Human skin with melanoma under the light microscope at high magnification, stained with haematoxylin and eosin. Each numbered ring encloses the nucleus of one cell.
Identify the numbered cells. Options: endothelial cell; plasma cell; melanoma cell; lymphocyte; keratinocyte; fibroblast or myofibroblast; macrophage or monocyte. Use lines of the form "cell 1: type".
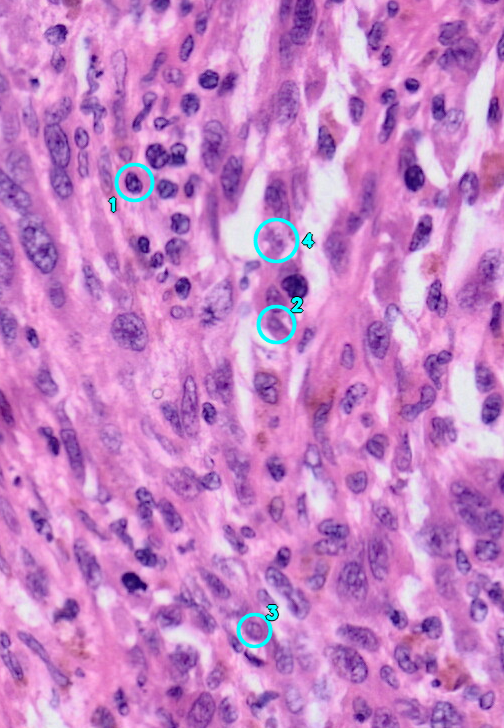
cell 1: lymphocyte
cell 2: melanoma cell
cell 3: melanoma cell
cell 4: melanoma cell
